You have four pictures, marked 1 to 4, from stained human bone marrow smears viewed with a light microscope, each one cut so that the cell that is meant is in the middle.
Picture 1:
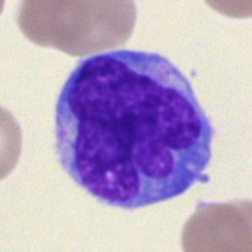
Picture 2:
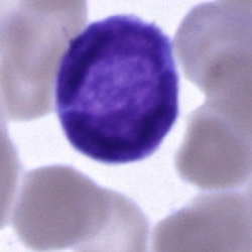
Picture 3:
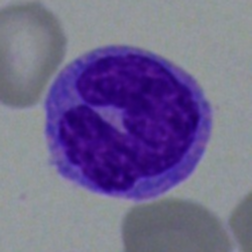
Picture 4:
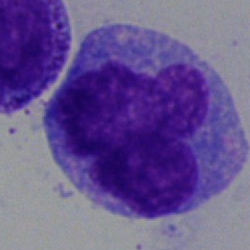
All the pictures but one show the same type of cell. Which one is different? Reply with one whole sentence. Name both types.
Picture 2 differs, because its cell is a blast and the rest are monocytes.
